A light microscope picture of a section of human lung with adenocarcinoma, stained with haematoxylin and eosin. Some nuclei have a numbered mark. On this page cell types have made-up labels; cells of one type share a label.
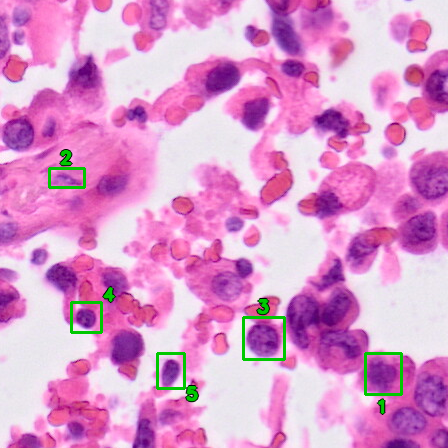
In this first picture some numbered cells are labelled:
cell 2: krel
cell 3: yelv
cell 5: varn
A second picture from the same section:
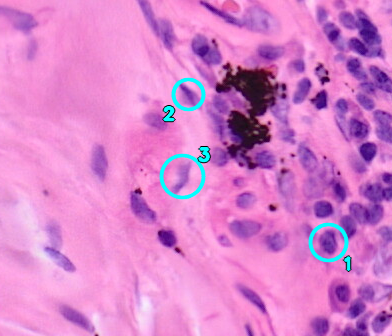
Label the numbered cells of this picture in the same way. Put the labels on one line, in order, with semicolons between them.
varn; krel; krel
